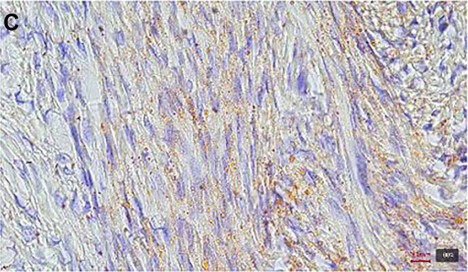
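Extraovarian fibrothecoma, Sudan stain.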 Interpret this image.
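Tumour of elongated spindle cells with blue, slender nuclei lying in parallel streams. Fine orange-brown droplets are scattered along the cytoplasm of some cells, patchy in distribution, with paler areas between.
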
